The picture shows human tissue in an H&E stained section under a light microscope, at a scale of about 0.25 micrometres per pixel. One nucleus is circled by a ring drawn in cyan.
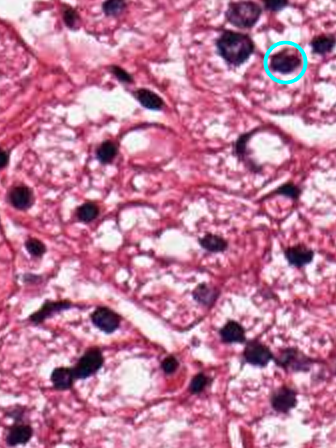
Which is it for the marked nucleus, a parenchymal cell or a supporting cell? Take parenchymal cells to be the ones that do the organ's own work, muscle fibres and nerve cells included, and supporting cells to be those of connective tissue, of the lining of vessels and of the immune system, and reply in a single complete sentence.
The marked nucleus, belonging to a parenchymal cell, is that of an adrenal cortical cell.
